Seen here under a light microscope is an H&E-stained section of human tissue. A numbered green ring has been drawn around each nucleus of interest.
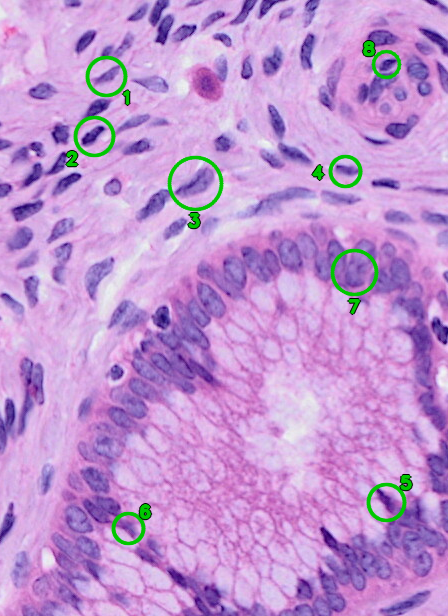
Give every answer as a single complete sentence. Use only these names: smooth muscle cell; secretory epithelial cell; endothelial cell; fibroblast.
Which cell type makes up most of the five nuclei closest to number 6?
Secretory epithelial cells make up most of the five nuclei closest to number 6.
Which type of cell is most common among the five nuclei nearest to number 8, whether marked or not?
Most of the five nuclei nearest to number 8 are those of smooth muscle cells.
